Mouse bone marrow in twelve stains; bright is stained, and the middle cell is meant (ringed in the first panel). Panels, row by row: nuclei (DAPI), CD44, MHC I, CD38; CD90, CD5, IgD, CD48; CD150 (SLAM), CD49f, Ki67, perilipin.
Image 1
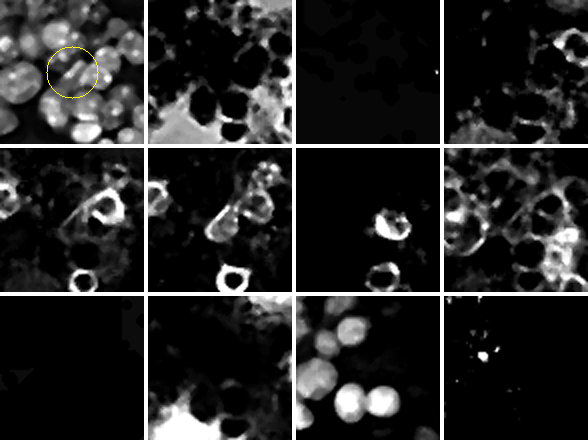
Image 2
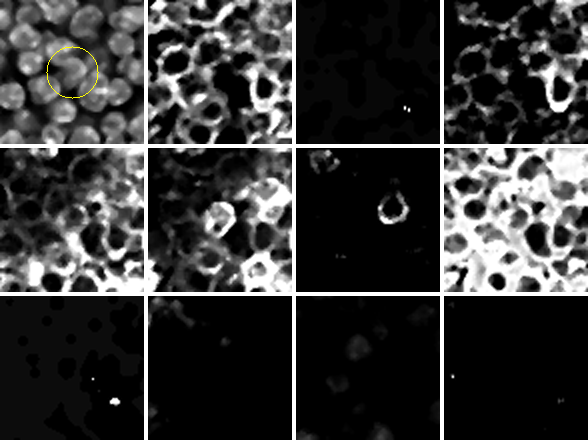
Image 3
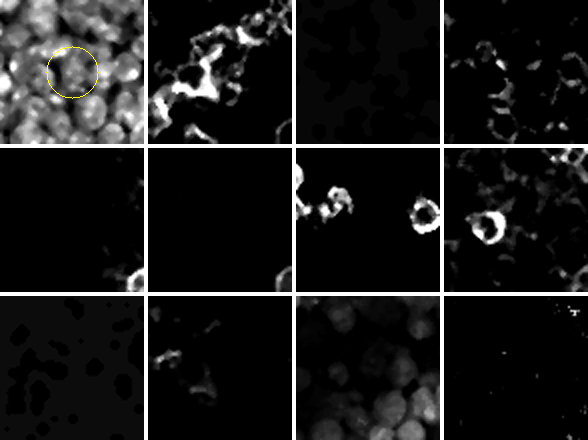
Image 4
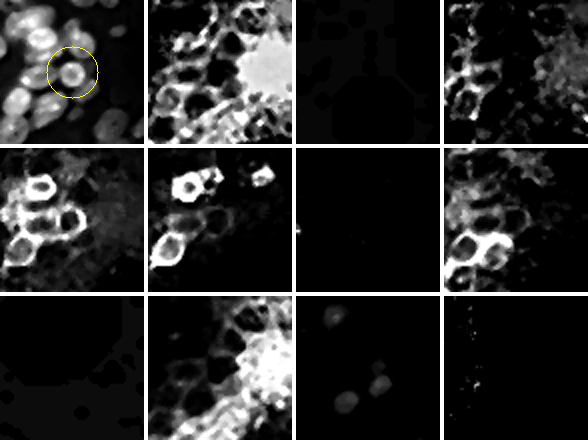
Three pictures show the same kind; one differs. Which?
Picture 3: a neutrophil, while the others are T cells.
